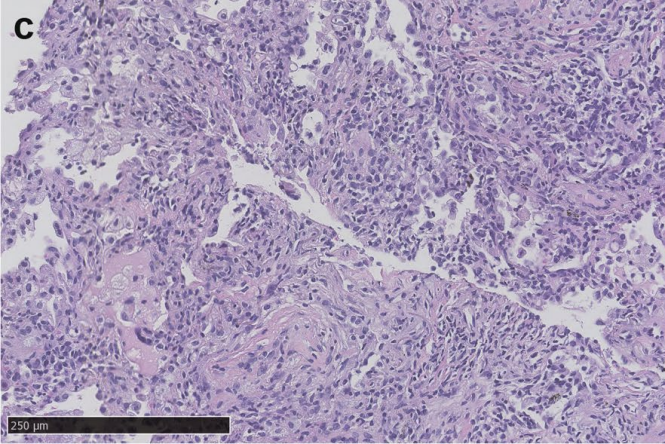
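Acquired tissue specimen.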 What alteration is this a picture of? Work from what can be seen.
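Inflammatory cell infiltration. The field is crowded with many small dark round nuclei.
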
